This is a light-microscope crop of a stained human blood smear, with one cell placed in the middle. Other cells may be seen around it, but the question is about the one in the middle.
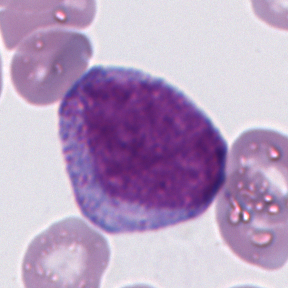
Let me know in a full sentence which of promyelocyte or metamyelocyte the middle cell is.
The single cell at the center of the crop is a promyelocyte.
